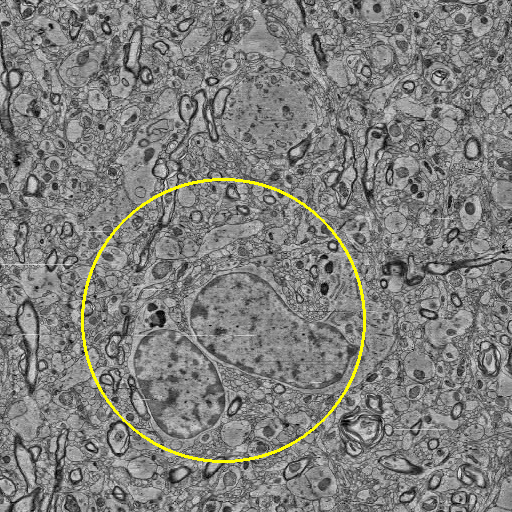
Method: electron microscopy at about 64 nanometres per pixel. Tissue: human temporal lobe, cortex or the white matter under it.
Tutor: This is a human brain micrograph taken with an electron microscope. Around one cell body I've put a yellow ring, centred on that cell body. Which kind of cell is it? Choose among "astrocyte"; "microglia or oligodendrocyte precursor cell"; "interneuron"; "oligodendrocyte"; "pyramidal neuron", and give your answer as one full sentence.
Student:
Going by your list, the cell centred in the yellow ring is a microglial cell or oligodendrocyte precursor cell.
